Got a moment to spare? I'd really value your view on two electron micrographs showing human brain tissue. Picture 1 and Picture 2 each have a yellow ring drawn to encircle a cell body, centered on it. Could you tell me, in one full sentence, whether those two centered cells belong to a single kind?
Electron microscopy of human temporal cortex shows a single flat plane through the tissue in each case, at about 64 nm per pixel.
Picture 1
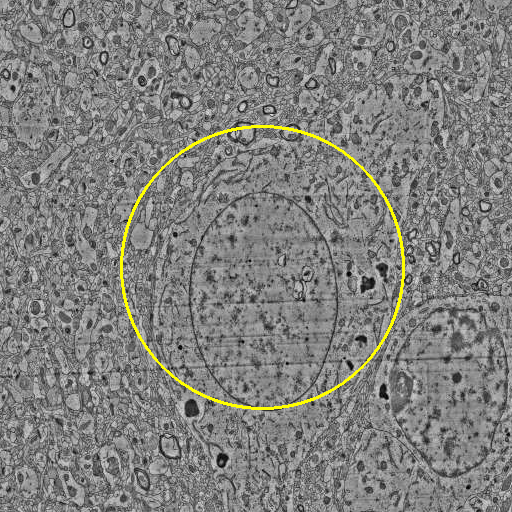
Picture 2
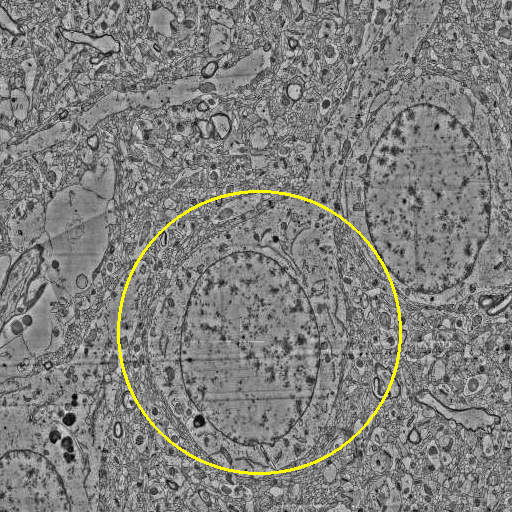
Yes, the two centered cells in Picture 1 and Picture 2 are of a single kind.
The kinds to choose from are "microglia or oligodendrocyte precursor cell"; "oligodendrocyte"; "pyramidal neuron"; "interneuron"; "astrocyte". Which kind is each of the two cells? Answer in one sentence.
The cell at the ring centre is a pyramidal neuron in both pictures.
